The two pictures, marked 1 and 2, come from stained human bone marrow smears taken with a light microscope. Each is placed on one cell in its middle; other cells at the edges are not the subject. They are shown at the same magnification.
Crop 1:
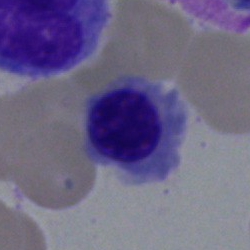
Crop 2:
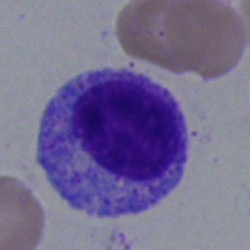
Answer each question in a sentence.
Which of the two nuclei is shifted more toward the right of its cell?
The nucleus in crop 2 lies further toward the right of its cell.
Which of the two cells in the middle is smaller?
It is the cell in crop 1; the cell in crop 2 has about 2 times its area.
